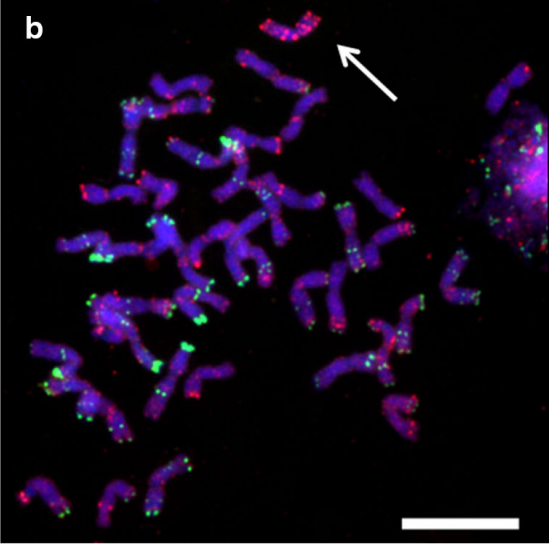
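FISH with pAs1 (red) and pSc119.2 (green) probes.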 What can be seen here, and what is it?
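This is a spread of mitotic chromosomes, condensed and rod-shaped with visible sister chromatids, counterstained blue-violet. Small discrete red and green dots lie along the chromosomes, often at or near their ends, in patterns that differ from chromosome to chromosome. One chromosome at the top carries mainly red dots scattered along its length. Part of an interphase nucleus with scattered dots lies at the right edge.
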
